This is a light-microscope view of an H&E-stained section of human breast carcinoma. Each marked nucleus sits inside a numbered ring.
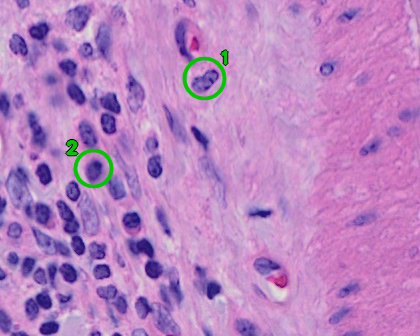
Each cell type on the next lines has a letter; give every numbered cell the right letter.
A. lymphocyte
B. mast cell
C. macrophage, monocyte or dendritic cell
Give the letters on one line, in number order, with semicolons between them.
B; A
